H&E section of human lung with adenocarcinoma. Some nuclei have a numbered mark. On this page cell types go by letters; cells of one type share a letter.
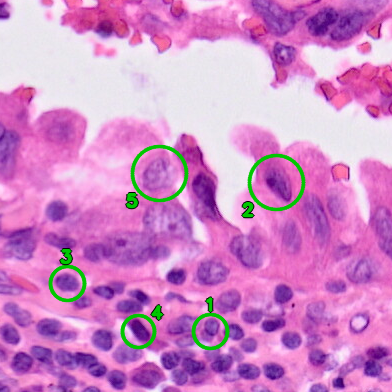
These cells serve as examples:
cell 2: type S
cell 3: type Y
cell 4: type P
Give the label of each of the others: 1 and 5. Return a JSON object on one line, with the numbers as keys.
{"1": "type Y", "5": "type S"}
